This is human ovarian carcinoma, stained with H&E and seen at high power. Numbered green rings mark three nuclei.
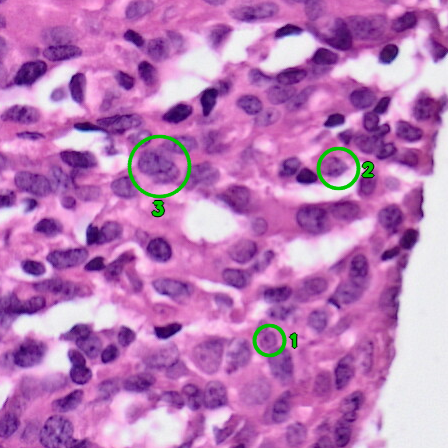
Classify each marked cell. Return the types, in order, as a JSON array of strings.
["carcinoma cell", "macrophage or monocyte", "carcinoma cell"]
